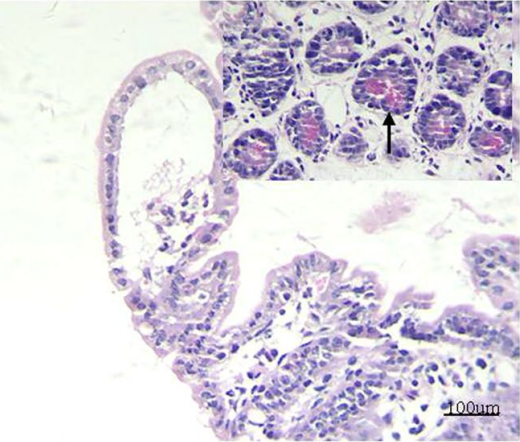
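Small intestinal mucosa in which the villi are few and irregular. A large villus on the left has a swollen, pale, largely empty core with only scattered cells and loose strands, its lining of columnar epithelium standing away from the thin lamina propria; shorter, irregular villi lie below. The lamina propria looks loose and sparse compared with a normal villus. The inset shows crypts cut across, rings of epithelial cells around small lumens, several of which contain cells filled with bright pink-red cytoplasmic granules at the crypt base, the paneth cells, one marked by the arrow.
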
